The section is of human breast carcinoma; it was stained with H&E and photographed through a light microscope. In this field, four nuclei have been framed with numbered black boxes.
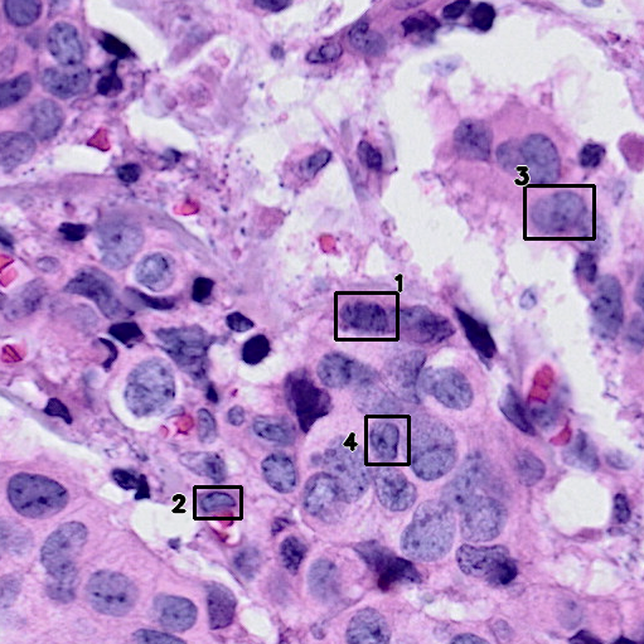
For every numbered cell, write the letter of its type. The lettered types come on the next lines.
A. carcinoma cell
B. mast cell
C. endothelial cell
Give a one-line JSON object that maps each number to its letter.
{"1": "A", "2": "C", "3": "A", "4": "A"}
